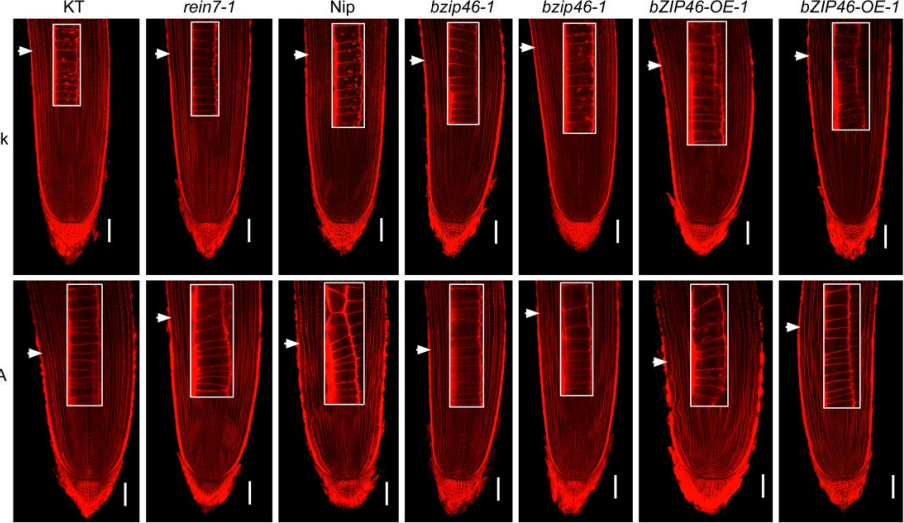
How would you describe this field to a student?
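Root tips are shown in longitudinal section with red-stained cell walls outlining every cell against a black background. Each tip tapers to a rounded end capped by a dome of brightly stained root cap cells. Toward the upper part, where a white arrow points to the flank, cells begin to lengthen.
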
